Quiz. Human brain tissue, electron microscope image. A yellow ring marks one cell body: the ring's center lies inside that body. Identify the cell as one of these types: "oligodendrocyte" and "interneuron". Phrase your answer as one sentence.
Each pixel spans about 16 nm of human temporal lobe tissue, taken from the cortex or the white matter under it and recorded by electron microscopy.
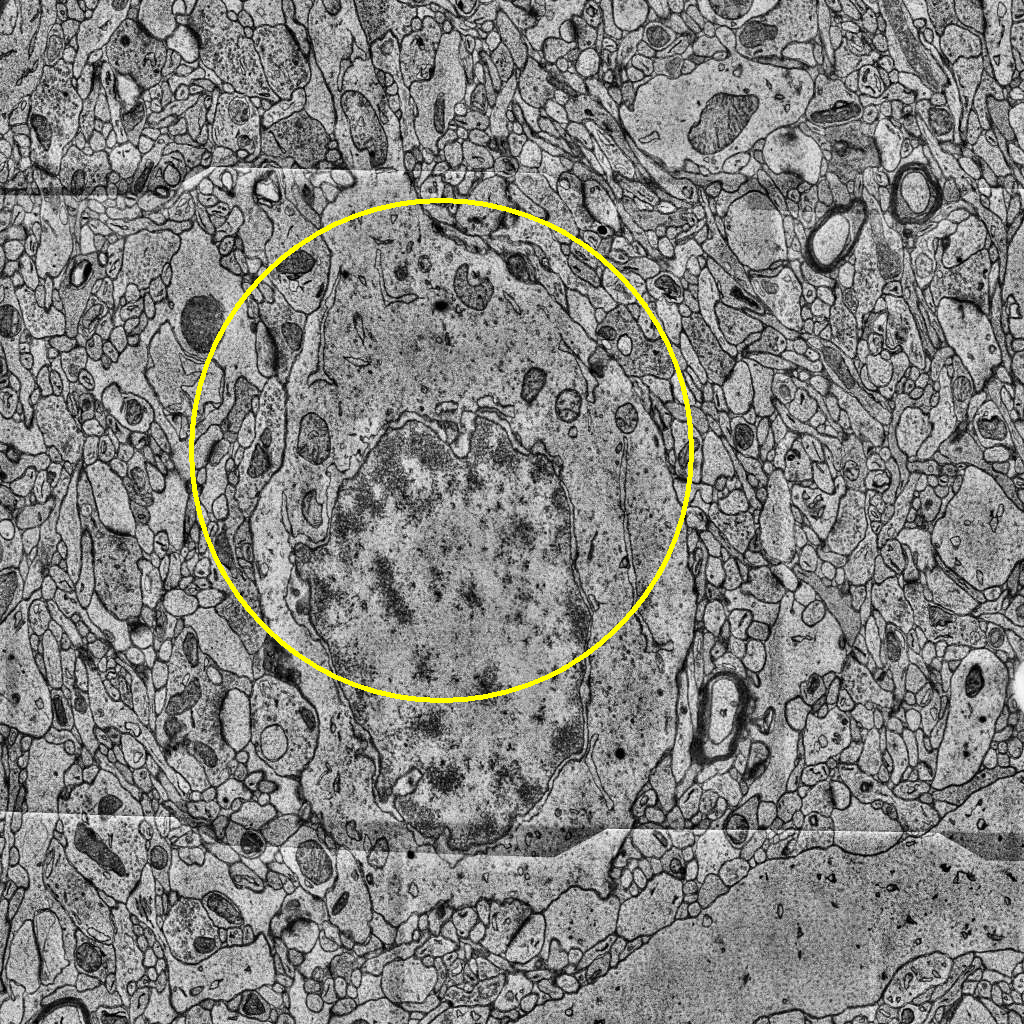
At the center of the ring sits an interneuron.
